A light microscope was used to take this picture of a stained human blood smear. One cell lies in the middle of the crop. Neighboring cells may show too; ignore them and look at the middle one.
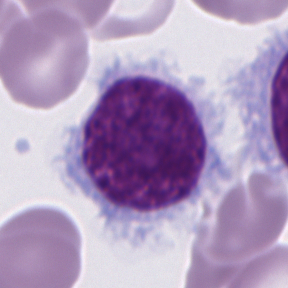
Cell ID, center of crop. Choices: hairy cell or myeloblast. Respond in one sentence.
Of the cells in this crop, the central one is a hairy cell.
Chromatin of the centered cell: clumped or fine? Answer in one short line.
Heads up, the chromatin is fine with no coarse clumps in it.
